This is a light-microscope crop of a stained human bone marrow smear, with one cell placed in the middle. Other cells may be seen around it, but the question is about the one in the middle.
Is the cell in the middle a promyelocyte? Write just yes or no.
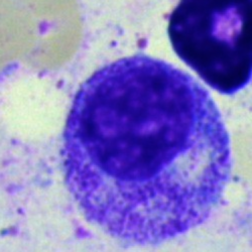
yes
